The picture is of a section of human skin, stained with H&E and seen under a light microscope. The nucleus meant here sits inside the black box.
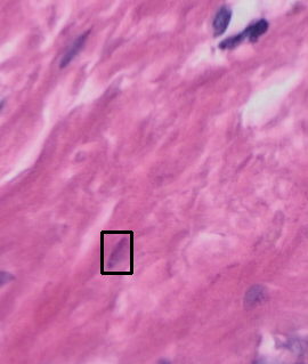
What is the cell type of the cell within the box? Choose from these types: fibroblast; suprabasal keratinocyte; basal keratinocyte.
fibroblast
